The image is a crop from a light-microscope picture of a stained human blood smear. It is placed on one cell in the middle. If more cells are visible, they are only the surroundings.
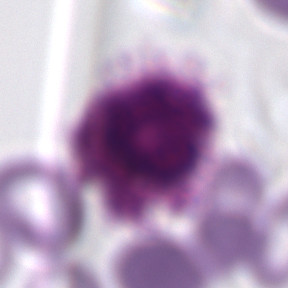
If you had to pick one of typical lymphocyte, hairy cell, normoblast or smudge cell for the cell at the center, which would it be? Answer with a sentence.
The middle of this crop is occupied by a smudge cell.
